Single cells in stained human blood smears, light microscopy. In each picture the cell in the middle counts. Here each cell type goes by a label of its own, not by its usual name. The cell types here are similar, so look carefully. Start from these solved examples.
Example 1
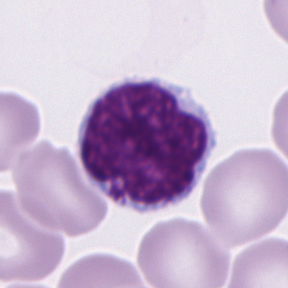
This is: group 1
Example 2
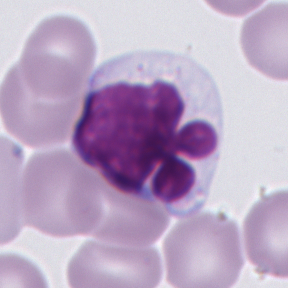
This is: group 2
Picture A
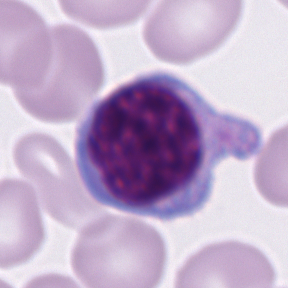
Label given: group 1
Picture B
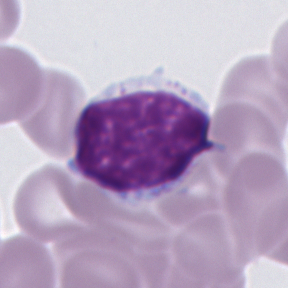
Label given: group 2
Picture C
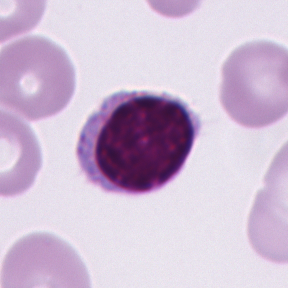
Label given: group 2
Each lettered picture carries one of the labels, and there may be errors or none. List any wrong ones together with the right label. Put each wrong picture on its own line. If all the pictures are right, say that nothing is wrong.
C: change group 2 to group 1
